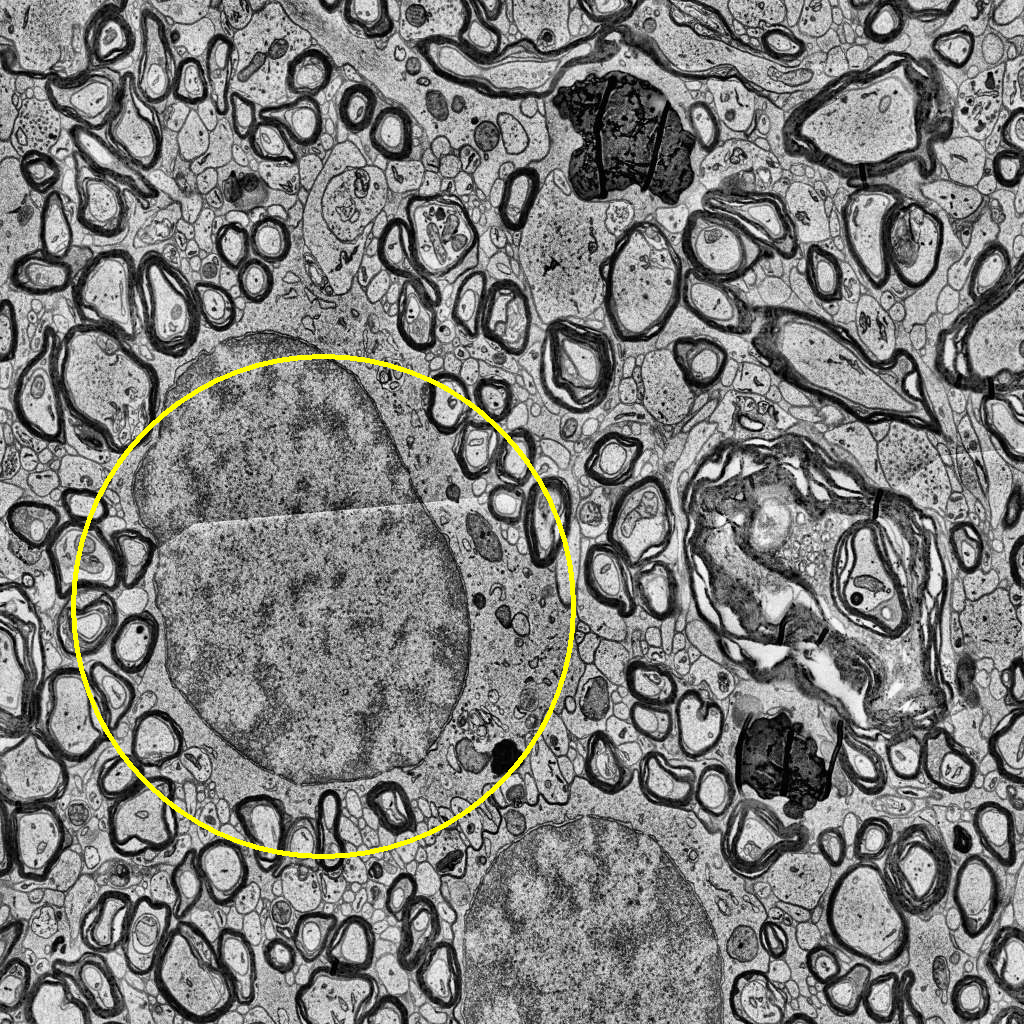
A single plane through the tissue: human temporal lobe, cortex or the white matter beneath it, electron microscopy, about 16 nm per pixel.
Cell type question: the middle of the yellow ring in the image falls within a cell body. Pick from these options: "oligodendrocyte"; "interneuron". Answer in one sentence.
The cell body at the center of the ring belongs to an oligodendrocyte.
